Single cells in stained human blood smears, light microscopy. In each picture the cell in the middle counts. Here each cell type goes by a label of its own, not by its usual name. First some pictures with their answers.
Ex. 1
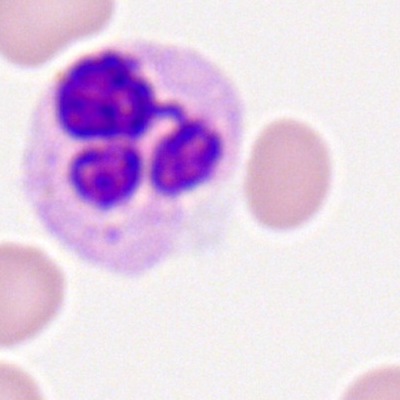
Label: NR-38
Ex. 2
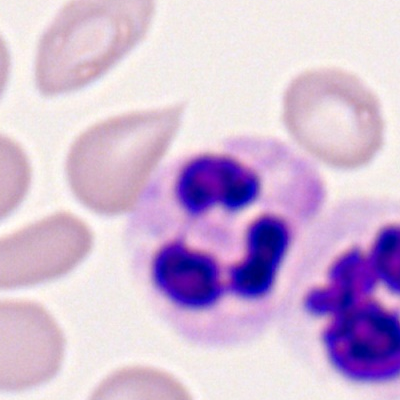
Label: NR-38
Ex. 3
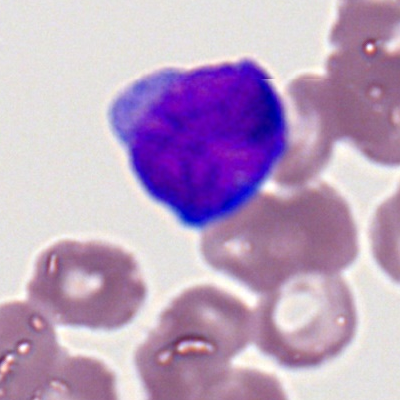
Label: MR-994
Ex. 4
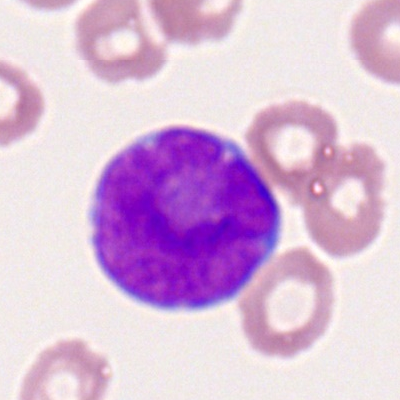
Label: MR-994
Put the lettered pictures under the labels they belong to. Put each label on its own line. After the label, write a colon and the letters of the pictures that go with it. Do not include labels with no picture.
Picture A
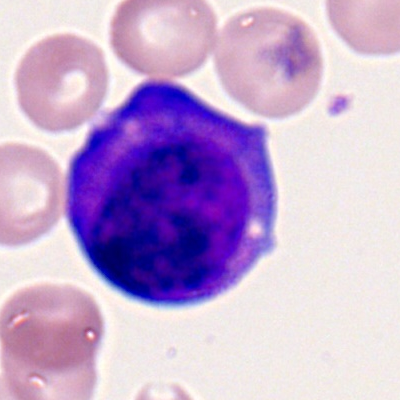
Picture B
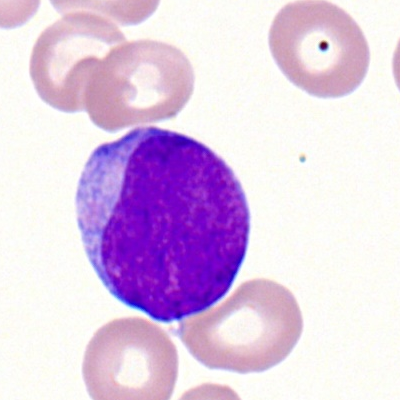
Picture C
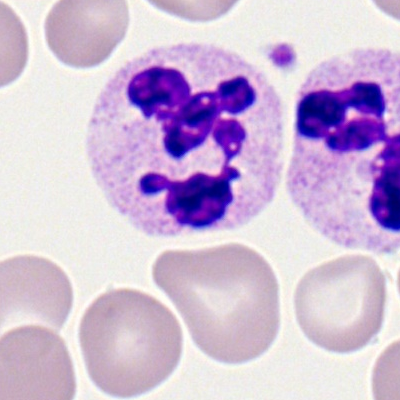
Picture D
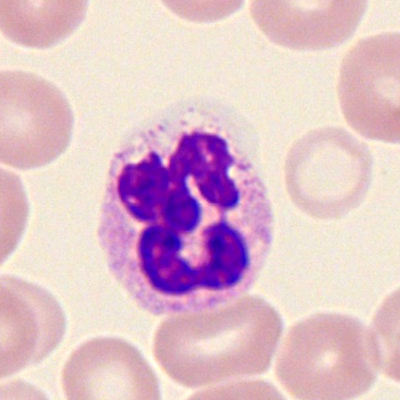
NR-38: C, D
MR-994: A, B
